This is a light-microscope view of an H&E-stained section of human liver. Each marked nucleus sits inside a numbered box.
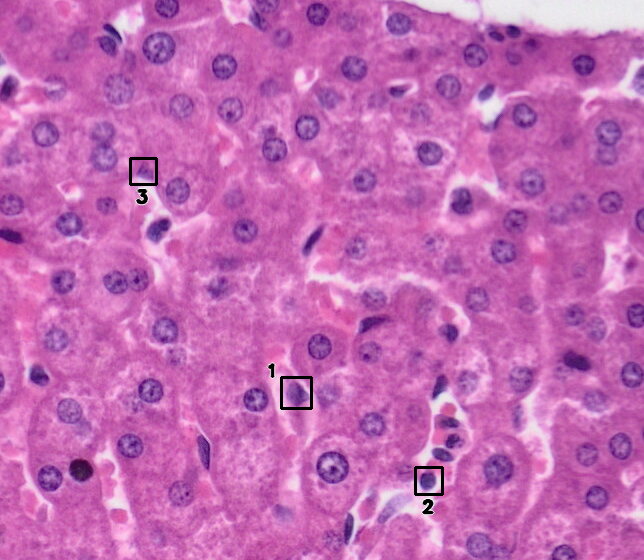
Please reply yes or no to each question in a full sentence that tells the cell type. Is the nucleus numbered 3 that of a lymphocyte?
No, cell 3 is identified not as a lymphocyte but as an endothelial cell.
